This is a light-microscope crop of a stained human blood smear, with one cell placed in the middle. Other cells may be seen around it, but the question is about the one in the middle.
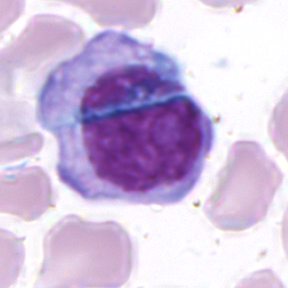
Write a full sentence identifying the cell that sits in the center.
Centrally within this crop lies a plasma cell.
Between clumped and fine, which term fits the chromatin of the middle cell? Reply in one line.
The key point is fine chromatin with no coarse clumps.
